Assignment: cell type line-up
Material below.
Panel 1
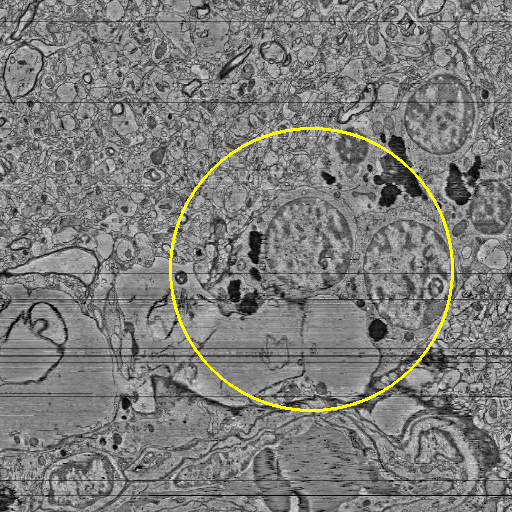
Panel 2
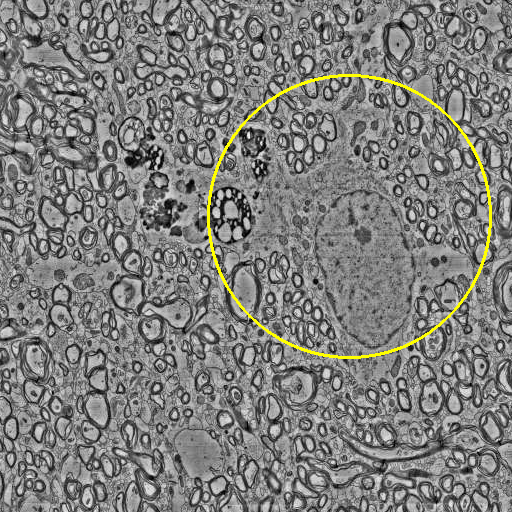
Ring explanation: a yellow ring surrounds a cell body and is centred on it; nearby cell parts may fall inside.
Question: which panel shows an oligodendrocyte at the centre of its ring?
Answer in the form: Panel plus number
Panel 1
